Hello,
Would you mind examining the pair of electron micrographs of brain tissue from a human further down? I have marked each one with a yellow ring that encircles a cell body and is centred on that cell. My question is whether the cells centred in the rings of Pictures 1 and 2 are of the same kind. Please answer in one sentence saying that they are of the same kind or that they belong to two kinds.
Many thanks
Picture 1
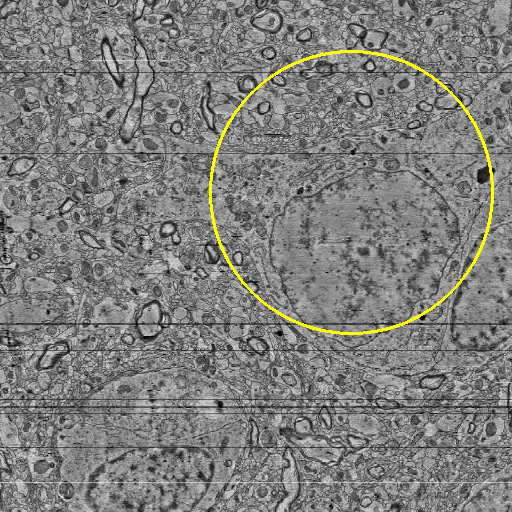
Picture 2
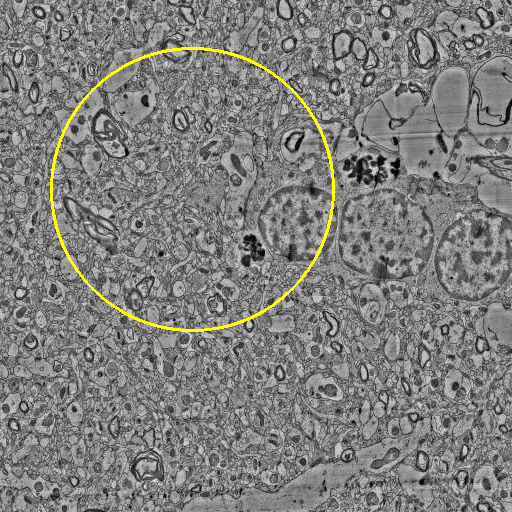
In Pictures 1 and 2, the cells at the heart of the rings belong to two kinds.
